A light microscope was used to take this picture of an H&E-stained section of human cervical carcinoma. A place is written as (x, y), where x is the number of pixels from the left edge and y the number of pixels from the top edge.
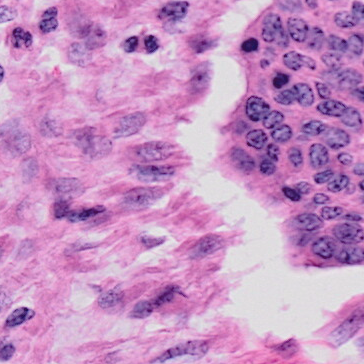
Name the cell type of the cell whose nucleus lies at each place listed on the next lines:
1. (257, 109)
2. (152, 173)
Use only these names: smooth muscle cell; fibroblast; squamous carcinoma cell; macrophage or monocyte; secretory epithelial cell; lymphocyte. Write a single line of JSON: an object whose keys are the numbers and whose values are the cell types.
{"1": "squamous carcinoma cell", "2": "fibroblast"}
